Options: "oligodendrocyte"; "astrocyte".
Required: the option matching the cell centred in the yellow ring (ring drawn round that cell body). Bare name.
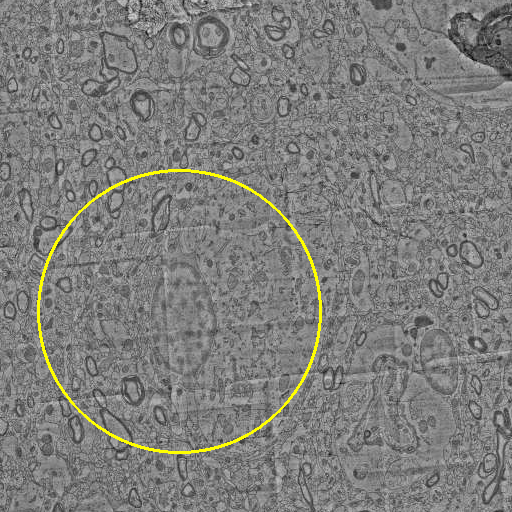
oligodendrocyte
